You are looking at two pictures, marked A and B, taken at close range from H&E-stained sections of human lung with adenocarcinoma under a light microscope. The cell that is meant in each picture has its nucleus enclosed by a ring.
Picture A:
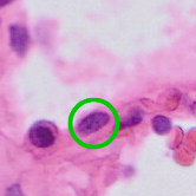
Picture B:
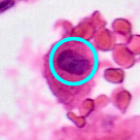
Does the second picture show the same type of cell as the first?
no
